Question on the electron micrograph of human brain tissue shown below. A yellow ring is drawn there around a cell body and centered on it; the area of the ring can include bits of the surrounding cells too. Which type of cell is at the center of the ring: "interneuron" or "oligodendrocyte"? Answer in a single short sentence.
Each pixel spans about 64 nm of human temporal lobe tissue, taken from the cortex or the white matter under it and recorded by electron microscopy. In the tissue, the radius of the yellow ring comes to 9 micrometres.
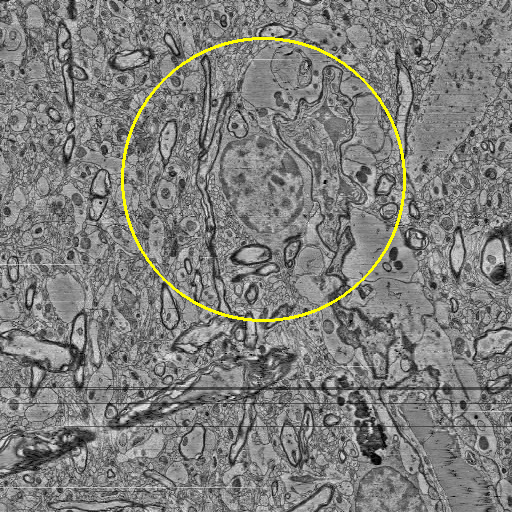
The ring is centered on an oligodendrocyte.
